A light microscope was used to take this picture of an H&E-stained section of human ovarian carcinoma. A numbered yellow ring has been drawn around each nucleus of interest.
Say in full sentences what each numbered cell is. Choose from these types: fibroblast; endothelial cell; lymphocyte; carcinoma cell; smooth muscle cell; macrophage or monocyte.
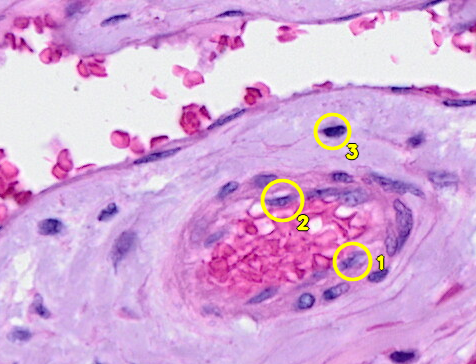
Cell 1 is an endothelial cell, cell 2 is an endothelial cell and cell 3 is a lymphocyte.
